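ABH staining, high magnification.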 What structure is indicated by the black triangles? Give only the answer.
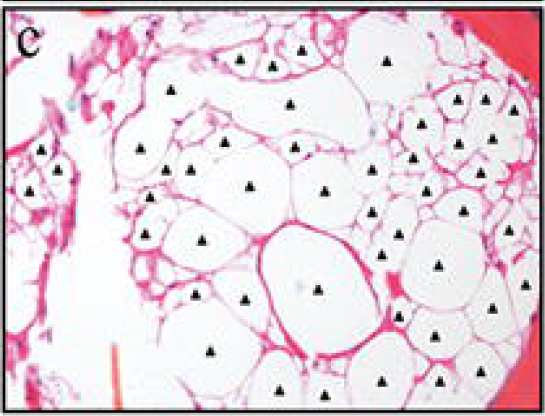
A: Fat droplets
